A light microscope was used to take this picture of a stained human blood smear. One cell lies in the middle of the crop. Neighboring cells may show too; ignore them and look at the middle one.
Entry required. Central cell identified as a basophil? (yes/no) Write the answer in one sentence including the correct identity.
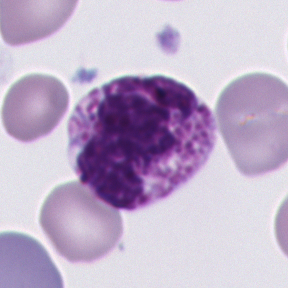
Yes, the cell occupying the middle of the crop is a basophil.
